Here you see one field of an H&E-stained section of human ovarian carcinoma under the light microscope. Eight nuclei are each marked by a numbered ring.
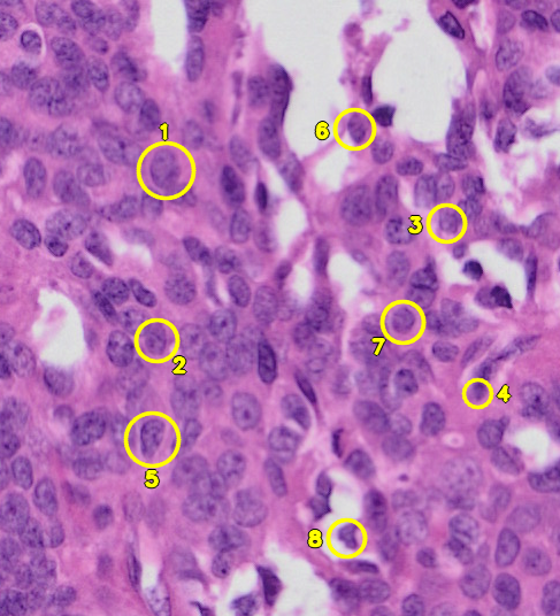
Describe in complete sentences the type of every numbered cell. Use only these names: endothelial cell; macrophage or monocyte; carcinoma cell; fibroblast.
Cells 1 and 2 are carcinoma cells. Cells 3, 5, 6, 7 and 8 are macrophages or monocytes. Cell 4 is an endothelial cell.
